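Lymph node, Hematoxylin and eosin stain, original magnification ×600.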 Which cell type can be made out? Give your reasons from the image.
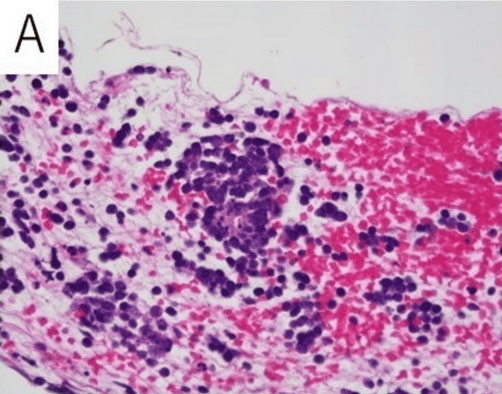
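Clusters of small cells with round, dark purple nuclei. Barely any cytoplasm around the nuclei. Cells lie in loose groups among abundant red blood cells. That points to this answer: small round cells with scant cytoplasm.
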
